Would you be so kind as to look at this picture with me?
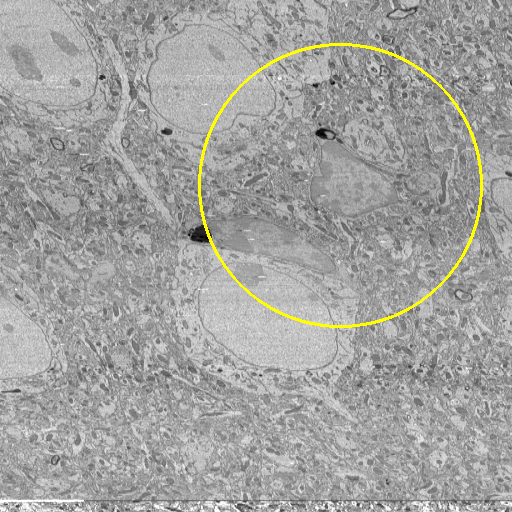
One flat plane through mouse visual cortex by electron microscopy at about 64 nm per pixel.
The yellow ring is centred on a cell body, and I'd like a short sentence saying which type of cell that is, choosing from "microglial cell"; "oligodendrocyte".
The cell body in the ring belongs to a microglial cell.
